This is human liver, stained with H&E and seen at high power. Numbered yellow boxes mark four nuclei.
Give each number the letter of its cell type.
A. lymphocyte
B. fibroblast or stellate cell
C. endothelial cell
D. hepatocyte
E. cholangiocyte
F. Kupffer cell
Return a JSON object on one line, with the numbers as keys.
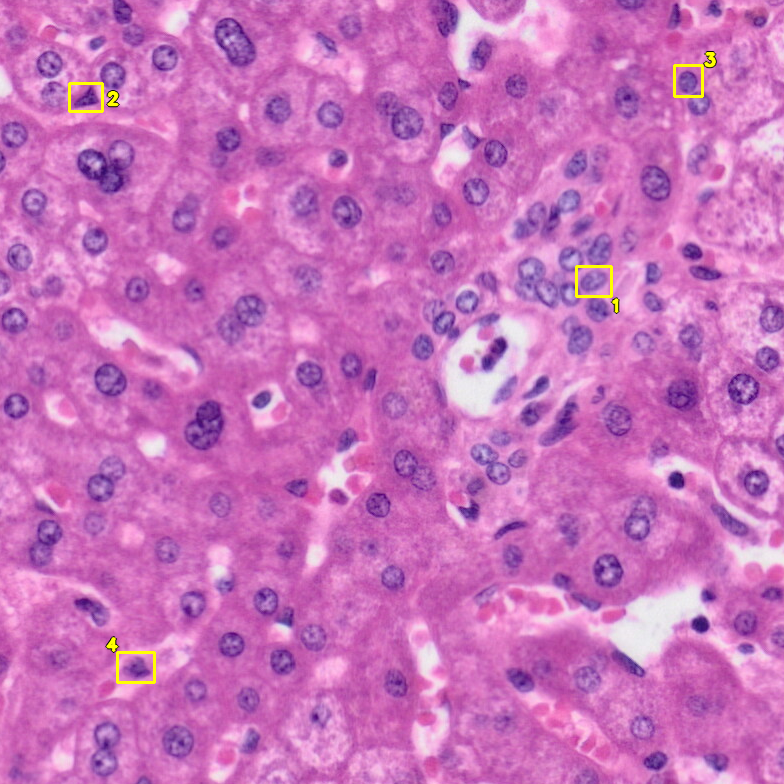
{"1": "E", "2": "B", "3": "E", "4": "F"}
